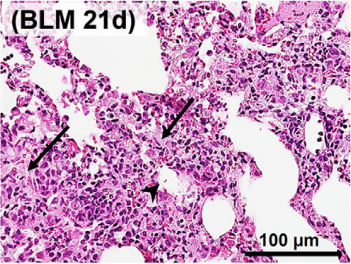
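Lung parenchyma in which much of the normal alveolar lace is replaced by a dense, solid region of tightly packed cells. Nuclei are crowded and dark purple, set in pink eosinophilic material, and the alveolar walls in this region can no longer be traced. A few open air spaces remain at the edges, with thickened, cell-rich walls. Some spaces appear narrowed or closed. Scattered red blood cells lie among the cells. The overall picture is of consolidated, thickened tissue rather than thin septa separating open alveoli.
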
